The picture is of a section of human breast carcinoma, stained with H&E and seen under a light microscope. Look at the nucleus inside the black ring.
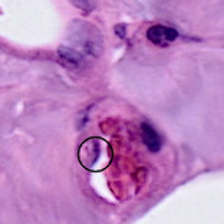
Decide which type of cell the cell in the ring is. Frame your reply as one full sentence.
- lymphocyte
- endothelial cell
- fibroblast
In this preparation, the cell in the ring is an endothelial cell.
